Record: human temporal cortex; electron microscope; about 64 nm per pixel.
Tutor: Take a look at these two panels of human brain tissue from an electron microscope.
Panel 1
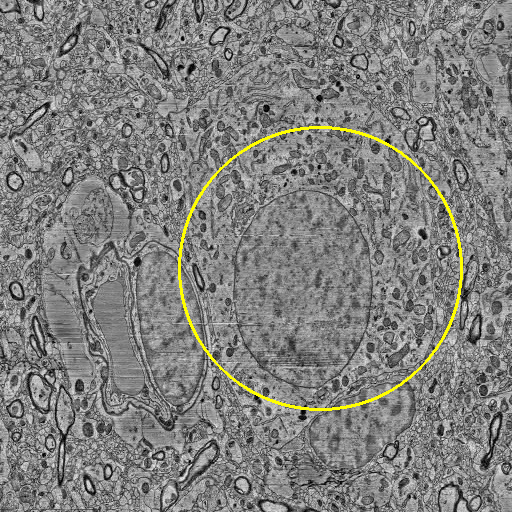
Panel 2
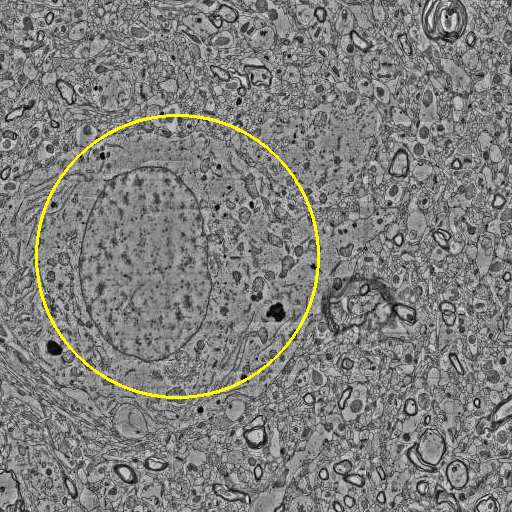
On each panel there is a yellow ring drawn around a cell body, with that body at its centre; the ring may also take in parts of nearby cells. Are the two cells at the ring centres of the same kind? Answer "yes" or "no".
yes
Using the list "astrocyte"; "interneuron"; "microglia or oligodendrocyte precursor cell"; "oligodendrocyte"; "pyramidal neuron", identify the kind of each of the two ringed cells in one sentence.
The second cell is an interneuron, just as the first is.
